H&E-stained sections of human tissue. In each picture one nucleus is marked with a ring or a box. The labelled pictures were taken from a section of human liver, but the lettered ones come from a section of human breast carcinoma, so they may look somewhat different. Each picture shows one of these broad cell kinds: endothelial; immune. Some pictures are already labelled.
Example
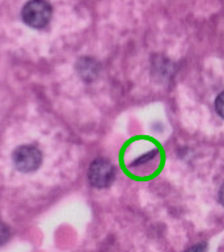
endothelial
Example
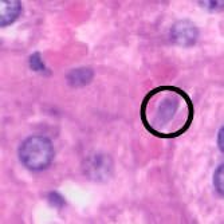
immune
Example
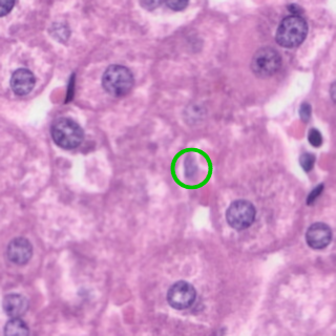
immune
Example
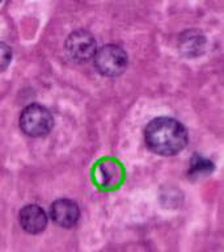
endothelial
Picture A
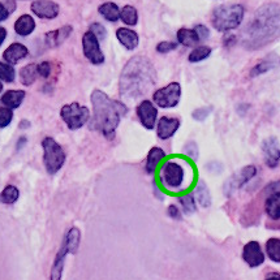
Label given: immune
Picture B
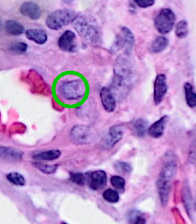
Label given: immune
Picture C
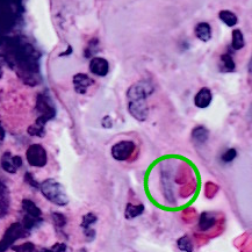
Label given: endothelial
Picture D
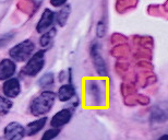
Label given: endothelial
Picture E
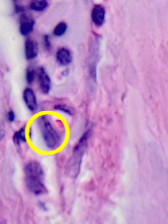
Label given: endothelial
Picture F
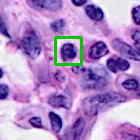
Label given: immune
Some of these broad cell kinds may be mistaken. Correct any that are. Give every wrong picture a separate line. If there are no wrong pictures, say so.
B is labelled immune; correct label: endothelial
